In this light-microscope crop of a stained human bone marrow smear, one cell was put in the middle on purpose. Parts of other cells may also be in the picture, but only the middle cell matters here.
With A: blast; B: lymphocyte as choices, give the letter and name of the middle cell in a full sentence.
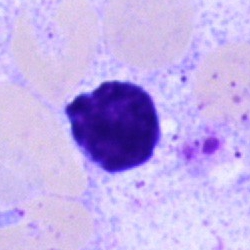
The correct option, B, names the middle cell as a lymphocyte.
